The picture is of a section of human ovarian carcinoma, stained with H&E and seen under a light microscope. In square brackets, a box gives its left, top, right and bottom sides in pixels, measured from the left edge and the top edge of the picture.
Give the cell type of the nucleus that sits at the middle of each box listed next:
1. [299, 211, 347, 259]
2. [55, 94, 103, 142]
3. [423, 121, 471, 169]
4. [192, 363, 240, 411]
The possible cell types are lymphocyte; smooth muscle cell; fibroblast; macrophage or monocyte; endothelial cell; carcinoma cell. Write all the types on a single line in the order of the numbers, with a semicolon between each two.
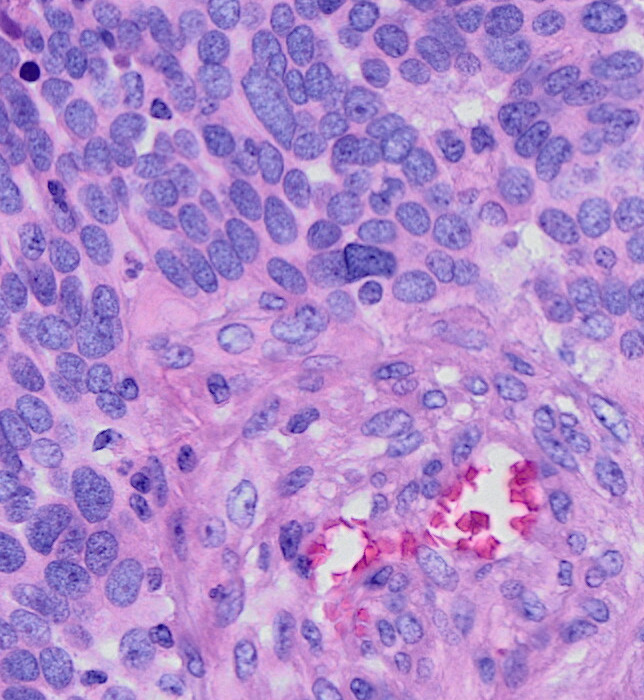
carcinoma cell; carcinoma cell; macrophage or monocyte; macrophage or monocyte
